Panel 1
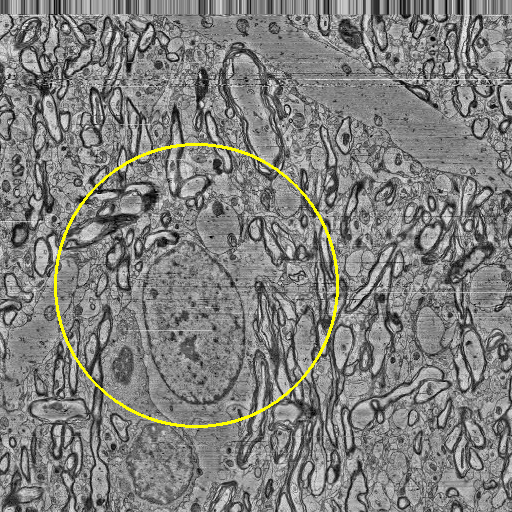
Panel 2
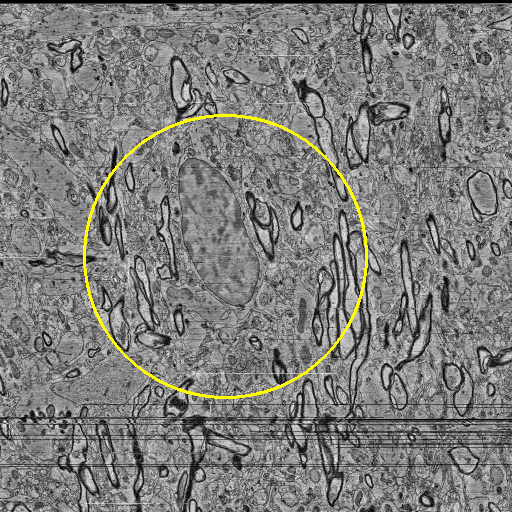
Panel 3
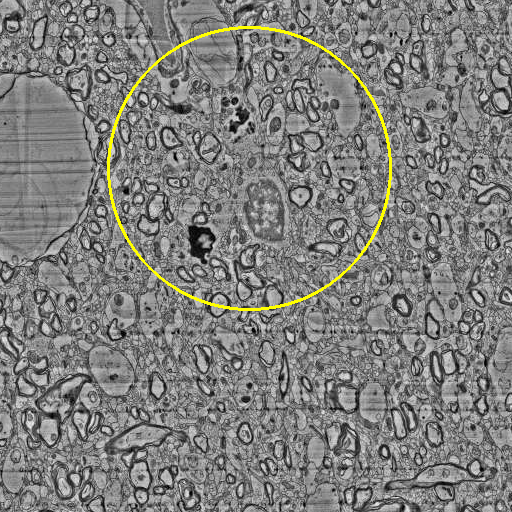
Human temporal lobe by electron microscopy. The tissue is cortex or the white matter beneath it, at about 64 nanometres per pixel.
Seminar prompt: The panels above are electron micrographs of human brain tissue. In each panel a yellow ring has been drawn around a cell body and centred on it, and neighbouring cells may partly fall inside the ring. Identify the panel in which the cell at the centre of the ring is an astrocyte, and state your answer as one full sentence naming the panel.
Panel 1 has it at the centre of its ring.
